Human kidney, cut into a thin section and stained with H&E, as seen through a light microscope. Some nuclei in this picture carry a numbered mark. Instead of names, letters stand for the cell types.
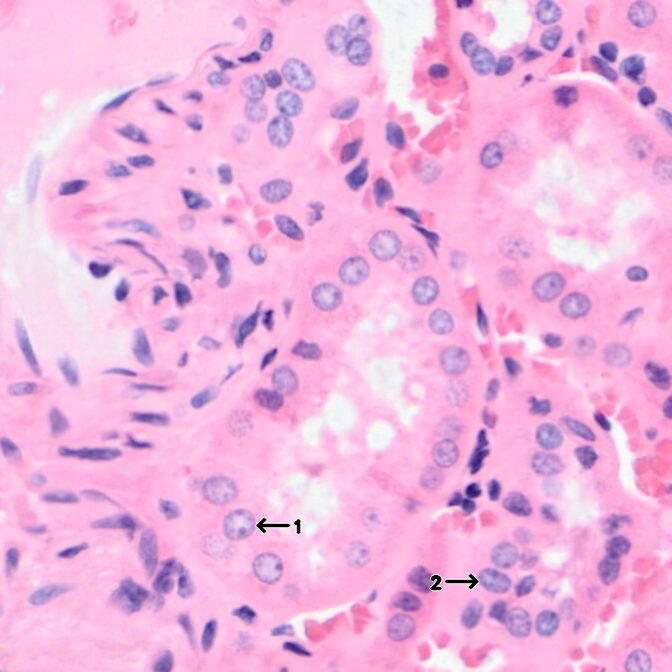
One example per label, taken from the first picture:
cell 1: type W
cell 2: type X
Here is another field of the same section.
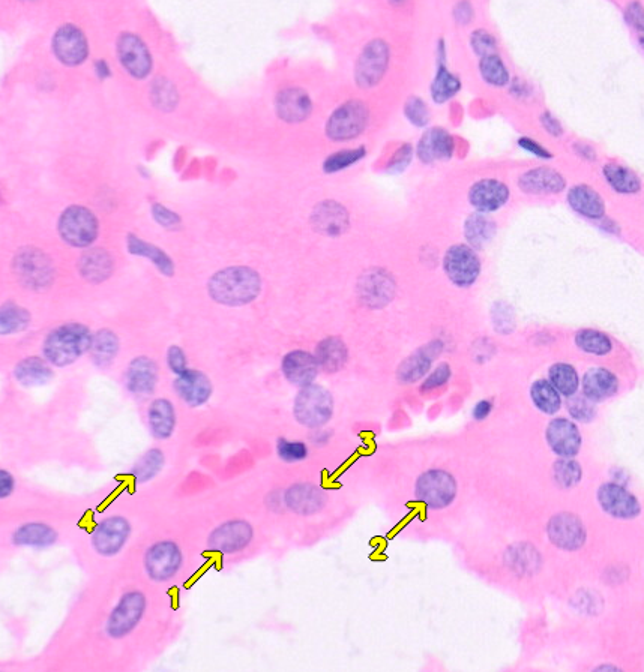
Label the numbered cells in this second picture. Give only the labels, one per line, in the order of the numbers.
type W
type W
type W
type X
